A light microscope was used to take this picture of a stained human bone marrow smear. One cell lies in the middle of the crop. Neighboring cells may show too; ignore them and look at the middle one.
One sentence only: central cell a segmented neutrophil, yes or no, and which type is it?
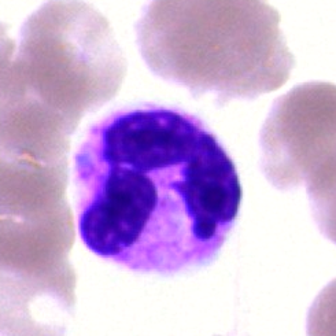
Yes, the cell that the crop is centered on is a segmented neutrophil.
